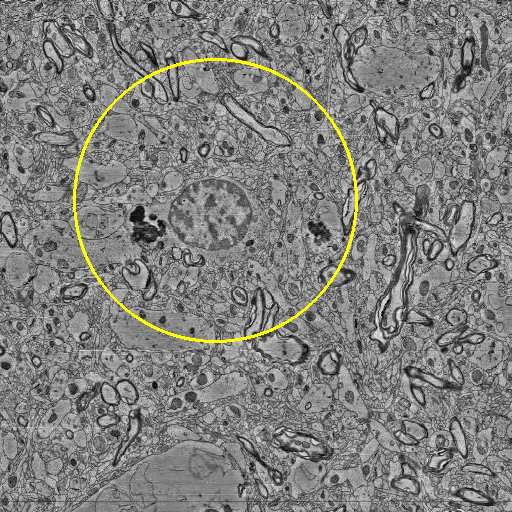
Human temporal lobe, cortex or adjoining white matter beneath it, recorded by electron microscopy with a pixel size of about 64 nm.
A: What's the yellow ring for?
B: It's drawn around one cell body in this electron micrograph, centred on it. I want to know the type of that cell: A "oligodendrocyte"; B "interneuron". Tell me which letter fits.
A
